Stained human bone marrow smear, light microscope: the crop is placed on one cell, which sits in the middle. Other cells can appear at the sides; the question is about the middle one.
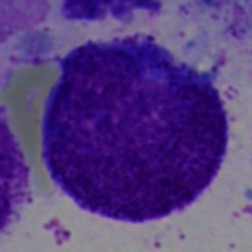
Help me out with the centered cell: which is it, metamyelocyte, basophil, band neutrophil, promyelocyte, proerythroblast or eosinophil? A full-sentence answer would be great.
The cell in the exact centre of the crop is a promyelocyte.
